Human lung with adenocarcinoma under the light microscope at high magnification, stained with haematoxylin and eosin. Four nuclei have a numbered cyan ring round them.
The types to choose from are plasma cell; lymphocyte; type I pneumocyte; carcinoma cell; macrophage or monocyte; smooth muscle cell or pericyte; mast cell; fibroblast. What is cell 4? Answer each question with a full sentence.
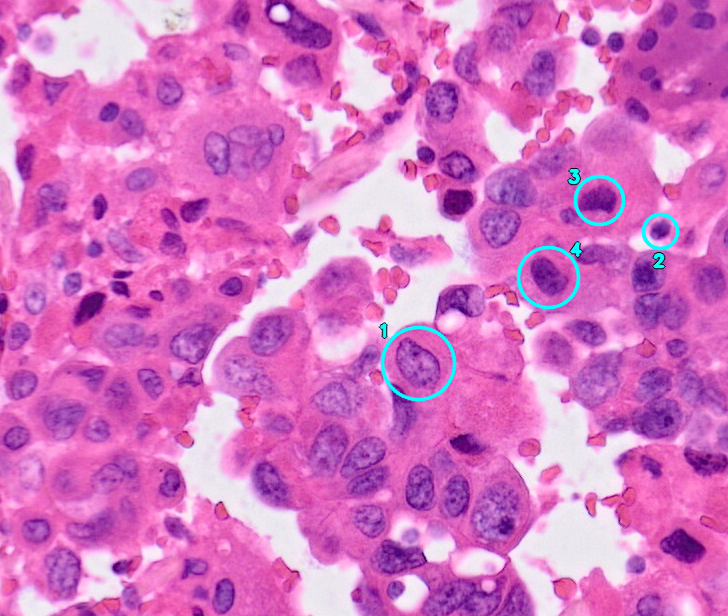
Among the marked cells, number 4 is a carcinoma cell.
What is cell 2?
Cell 2 in the field is a lymphocyte.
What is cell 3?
The one labeled 3 is a carcinoma cell, to put it simply.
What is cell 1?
The cell referenced by the number 1 is a carcinoma cell in this field.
